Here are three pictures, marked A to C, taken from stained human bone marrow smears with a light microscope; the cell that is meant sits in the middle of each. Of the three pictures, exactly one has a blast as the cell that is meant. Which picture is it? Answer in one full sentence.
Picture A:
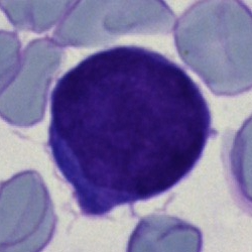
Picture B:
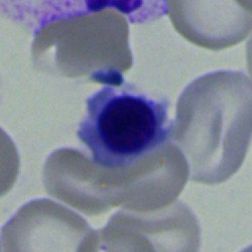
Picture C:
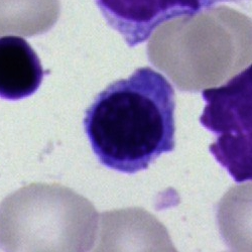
Picture A is the one that shows the blast.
